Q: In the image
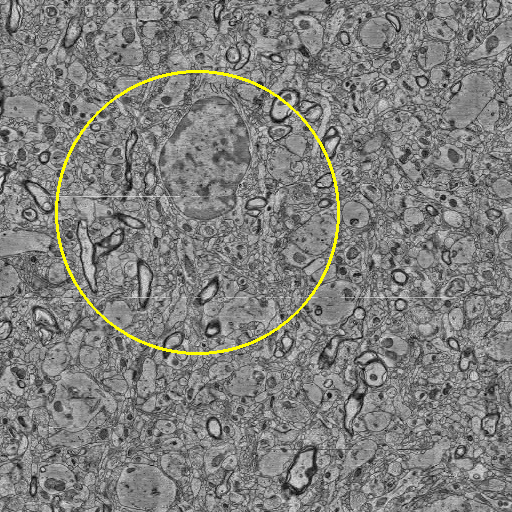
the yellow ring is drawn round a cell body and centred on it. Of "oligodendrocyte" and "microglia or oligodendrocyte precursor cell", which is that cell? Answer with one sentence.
The cell centred in the ring is a microglial cell or oligodendrocyte precursor cell.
